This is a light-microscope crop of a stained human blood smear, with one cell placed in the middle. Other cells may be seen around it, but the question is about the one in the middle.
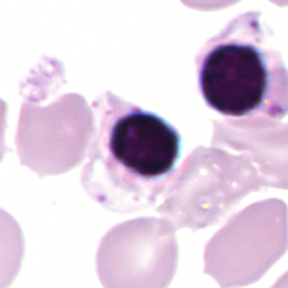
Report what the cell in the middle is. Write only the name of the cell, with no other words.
erythroblast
